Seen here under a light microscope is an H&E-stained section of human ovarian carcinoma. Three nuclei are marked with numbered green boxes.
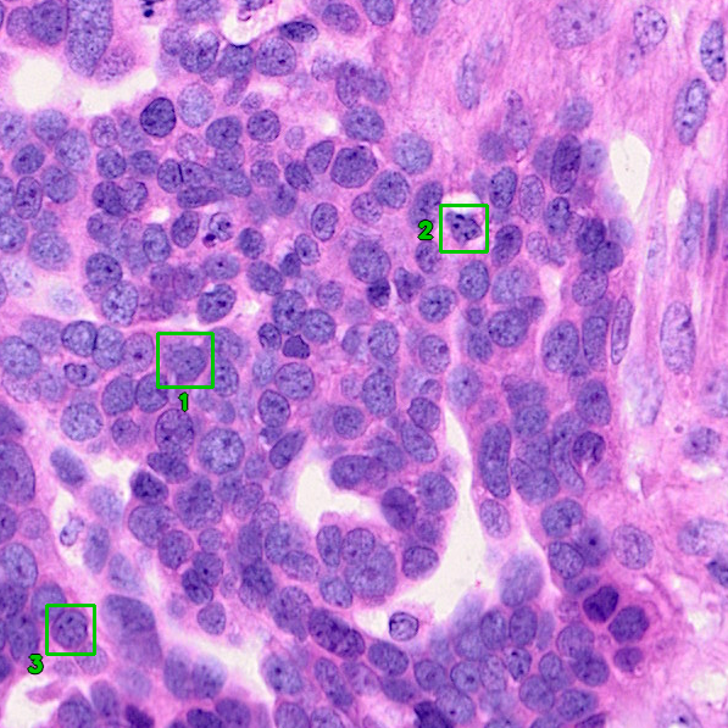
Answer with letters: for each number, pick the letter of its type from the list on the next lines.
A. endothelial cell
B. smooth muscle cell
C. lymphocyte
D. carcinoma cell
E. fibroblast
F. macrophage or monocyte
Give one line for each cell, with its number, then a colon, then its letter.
1: D
2: F
3: D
